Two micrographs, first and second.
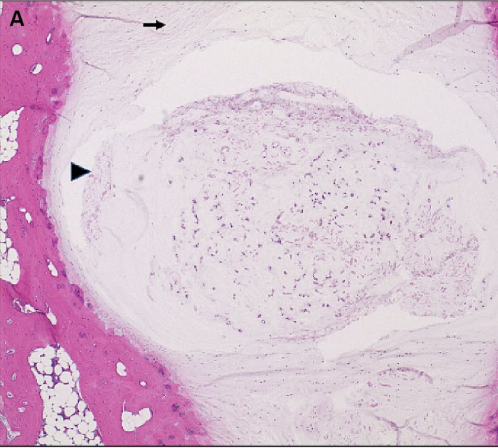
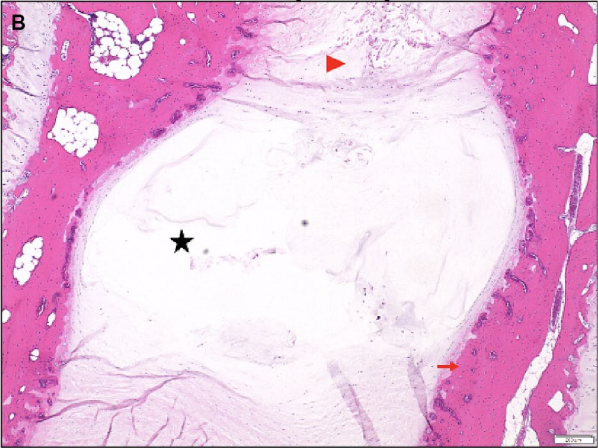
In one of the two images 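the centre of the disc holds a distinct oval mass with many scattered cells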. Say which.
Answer: the first image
